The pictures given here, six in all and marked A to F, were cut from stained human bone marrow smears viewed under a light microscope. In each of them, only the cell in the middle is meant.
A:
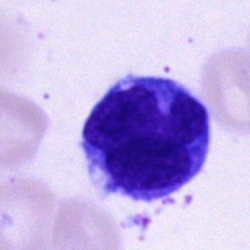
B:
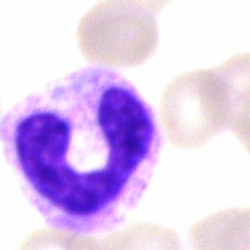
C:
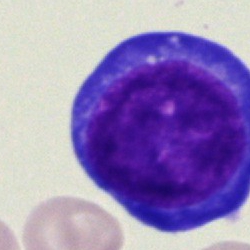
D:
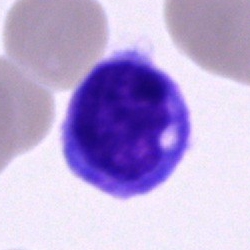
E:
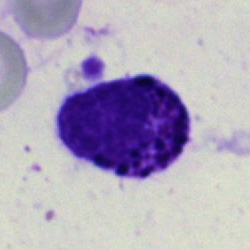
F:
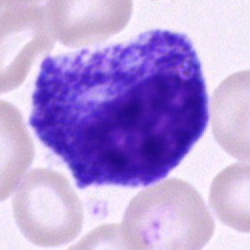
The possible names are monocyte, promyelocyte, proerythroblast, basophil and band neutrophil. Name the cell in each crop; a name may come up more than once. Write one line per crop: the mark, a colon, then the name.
A: monocyte
B: band neutrophil
C: proerythroblast
D: monocyte
E: basophil
F: promyelocyte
